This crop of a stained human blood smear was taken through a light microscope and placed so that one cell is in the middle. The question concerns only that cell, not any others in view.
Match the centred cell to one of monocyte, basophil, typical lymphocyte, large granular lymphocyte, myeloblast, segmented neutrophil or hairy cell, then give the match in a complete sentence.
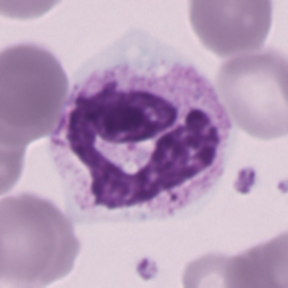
Here the cell in the middle is a segmented neutrophil.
